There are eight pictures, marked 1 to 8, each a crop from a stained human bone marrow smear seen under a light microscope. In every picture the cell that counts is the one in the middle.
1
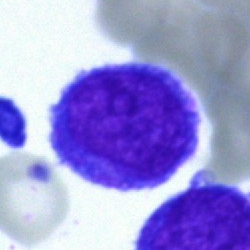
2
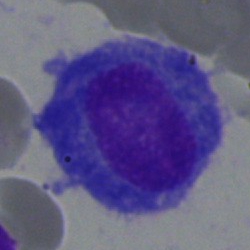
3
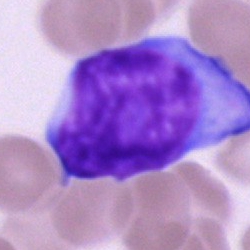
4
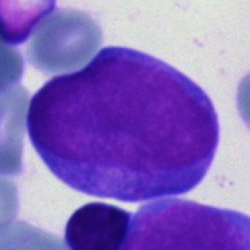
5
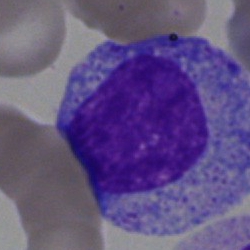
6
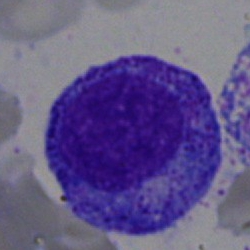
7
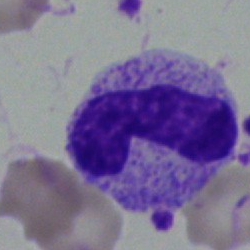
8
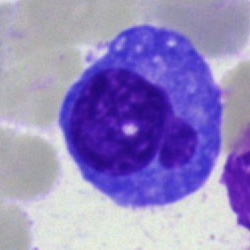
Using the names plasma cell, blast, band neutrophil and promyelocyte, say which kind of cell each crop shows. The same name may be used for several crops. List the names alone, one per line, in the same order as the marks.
blast
plasma cell
blast
blast
promyelocyte
promyelocyte
band neutrophil
plasma cell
